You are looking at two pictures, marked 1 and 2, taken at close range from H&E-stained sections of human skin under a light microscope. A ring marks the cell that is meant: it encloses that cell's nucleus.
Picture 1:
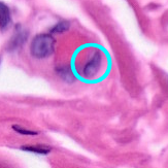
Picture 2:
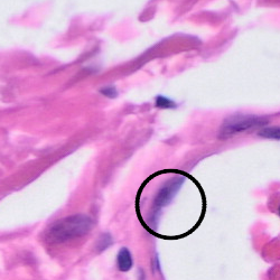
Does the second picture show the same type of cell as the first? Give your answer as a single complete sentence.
Yes, the two pictures both show endothelial cells.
